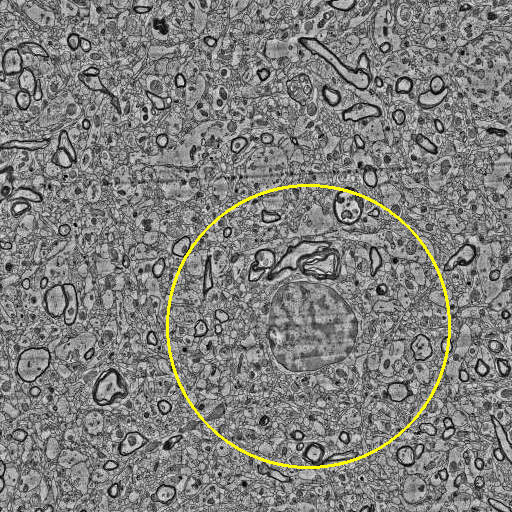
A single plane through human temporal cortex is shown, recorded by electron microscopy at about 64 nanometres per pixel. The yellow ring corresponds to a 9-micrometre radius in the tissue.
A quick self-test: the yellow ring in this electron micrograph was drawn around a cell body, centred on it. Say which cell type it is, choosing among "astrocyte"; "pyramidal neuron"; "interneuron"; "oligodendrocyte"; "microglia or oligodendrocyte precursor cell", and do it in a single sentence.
The yellow-ringed cell is a microglial cell or oligodendrocyte precursor cell.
